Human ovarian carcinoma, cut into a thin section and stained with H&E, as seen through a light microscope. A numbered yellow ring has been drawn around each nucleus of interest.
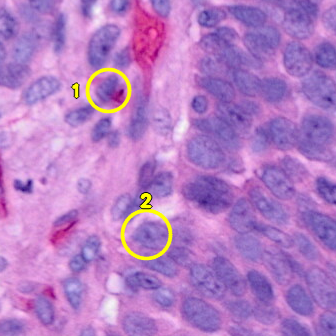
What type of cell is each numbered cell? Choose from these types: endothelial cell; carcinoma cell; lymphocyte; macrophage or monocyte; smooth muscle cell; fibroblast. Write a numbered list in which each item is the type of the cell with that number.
1. endothelial cell
2. carcinoma cell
